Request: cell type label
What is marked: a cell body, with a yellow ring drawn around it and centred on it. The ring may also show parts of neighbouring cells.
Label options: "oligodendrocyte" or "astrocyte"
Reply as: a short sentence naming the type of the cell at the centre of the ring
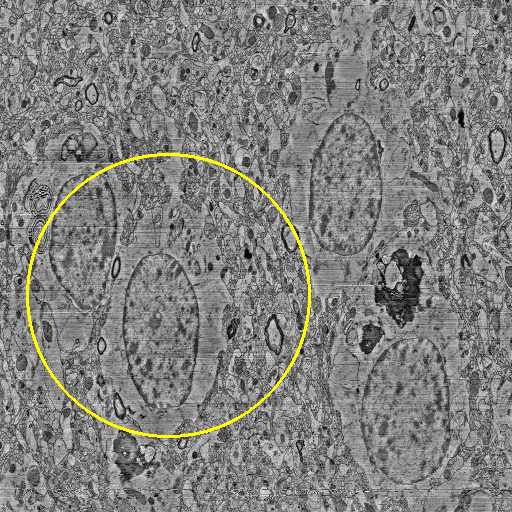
The marked cell body is that of an astrocyte.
